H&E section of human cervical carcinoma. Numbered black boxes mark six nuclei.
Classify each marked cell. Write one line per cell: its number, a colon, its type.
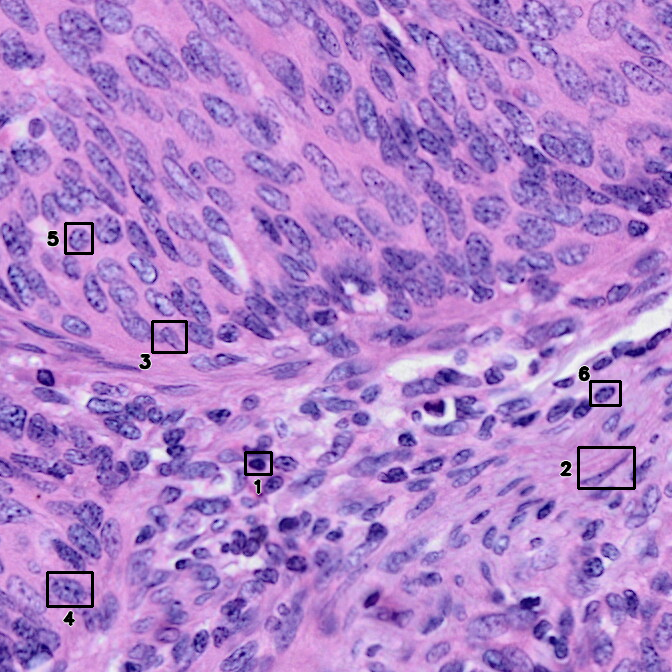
1: lymphocyte
2: smooth muscle cell
3: squamous carcinoma cell
4: squamous carcinoma cell
5: squamous carcinoma cell
6: lymphocyte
